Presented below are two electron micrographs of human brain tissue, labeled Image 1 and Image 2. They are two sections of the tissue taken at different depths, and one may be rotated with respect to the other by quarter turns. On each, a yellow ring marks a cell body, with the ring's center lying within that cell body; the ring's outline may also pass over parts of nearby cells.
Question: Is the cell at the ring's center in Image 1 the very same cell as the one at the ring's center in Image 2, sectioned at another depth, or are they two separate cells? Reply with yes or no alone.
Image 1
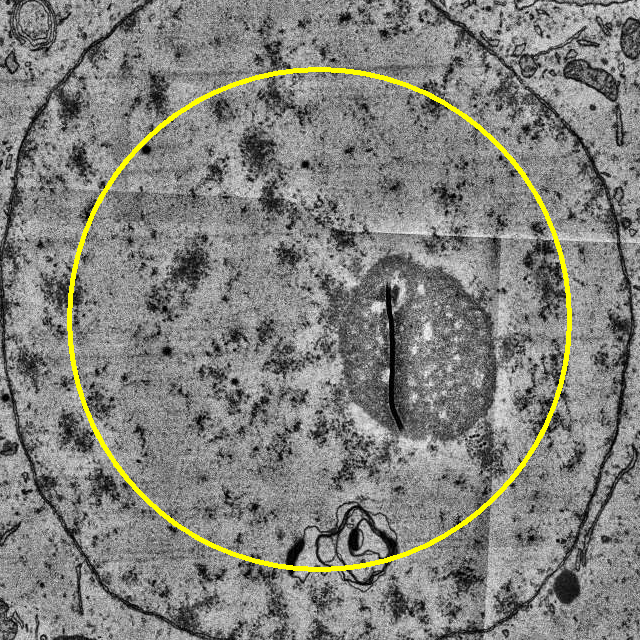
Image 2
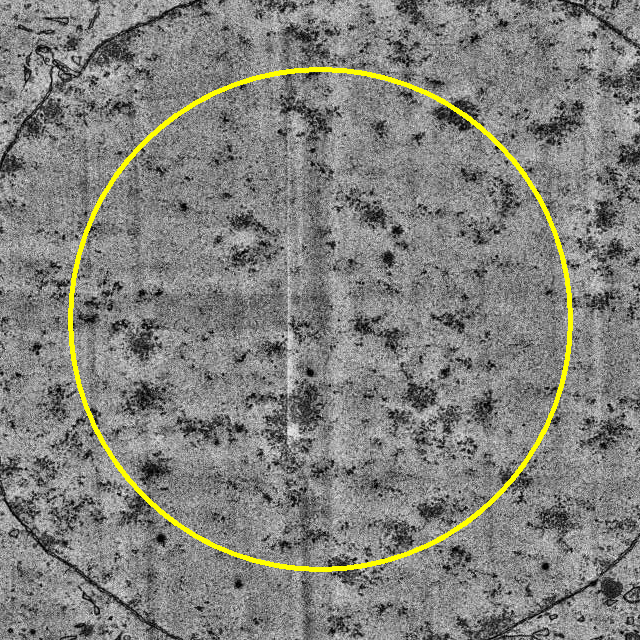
yes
